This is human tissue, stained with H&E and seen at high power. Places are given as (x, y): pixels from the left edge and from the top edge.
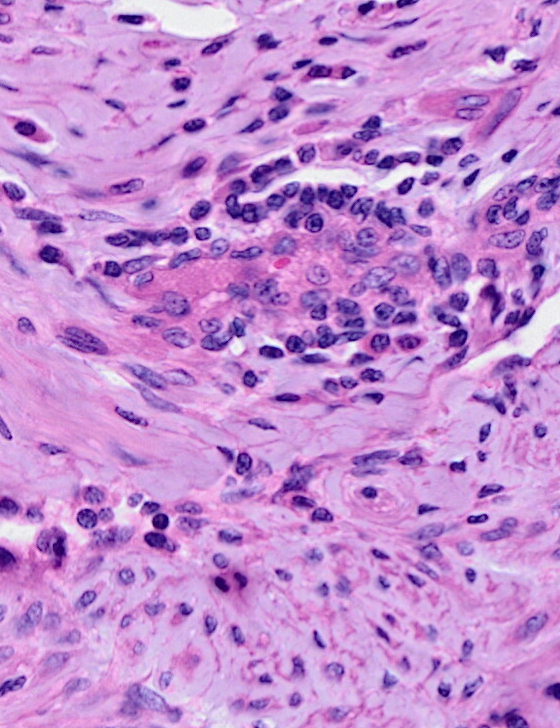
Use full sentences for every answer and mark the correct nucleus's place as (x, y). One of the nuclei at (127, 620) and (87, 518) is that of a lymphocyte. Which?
The nucleus positioned at (87, 518) is the one that belongs to a lymphocyte.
